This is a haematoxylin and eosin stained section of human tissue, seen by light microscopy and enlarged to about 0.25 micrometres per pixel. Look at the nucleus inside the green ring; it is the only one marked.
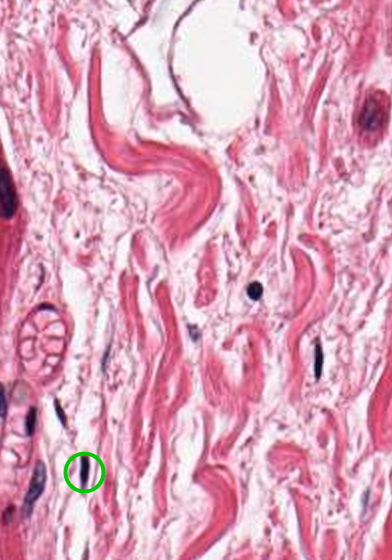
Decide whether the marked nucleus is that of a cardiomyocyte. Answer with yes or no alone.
no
